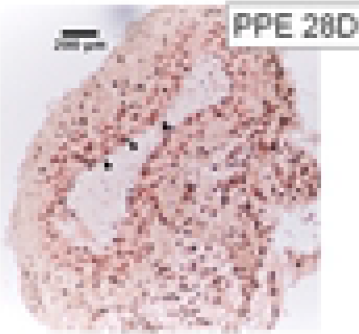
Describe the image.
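Throughout the wall, many small cells stained dark brown lie scattered on a pale pink background. The usual orderly layered wall pattern is not visible, and the tissue looks loose and disorganised. Black arrowheads point at stained cells near the edge of the lumen.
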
